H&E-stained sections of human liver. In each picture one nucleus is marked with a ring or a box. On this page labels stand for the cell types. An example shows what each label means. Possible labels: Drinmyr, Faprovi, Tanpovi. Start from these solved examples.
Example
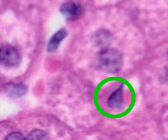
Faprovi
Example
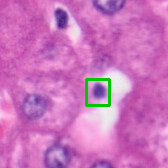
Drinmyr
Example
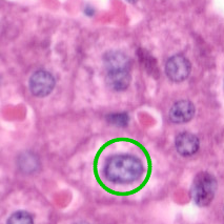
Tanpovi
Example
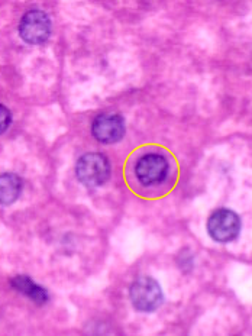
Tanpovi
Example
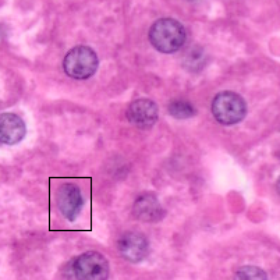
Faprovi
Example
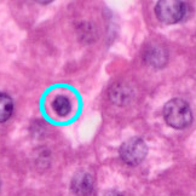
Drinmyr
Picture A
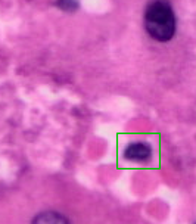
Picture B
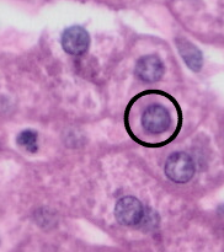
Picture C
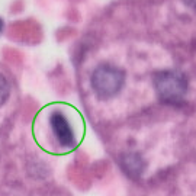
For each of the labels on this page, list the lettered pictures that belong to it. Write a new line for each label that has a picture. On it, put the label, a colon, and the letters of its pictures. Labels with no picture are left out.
Drinmyr: A, C
Tanpovi: B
